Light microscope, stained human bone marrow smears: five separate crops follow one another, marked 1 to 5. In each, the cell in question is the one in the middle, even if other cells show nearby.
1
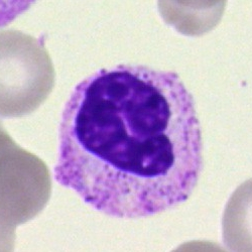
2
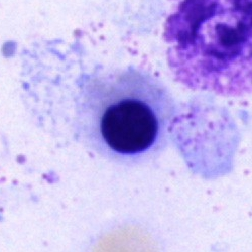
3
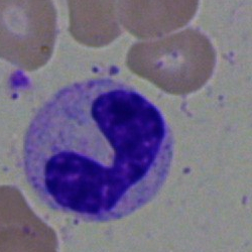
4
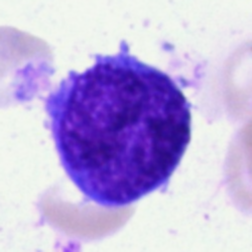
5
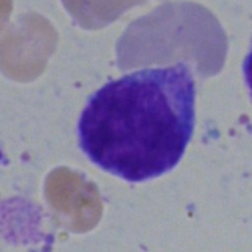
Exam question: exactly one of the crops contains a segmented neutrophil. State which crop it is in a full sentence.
The correct choice is crop 1, the one showing a segmented neutrophil.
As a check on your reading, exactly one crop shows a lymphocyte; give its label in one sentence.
Of the labelled crops, the one that shows a lymphocyte is crop 5.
